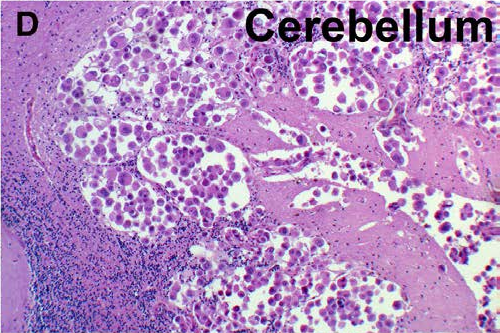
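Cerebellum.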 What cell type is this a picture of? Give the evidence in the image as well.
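Vessels beside a densely nucleated granular layer are filled with large rounded cells. The rounded cells have eccentric-looking round nuclei and abundant pink cytoplasm. The answer: neoplastic cells.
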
